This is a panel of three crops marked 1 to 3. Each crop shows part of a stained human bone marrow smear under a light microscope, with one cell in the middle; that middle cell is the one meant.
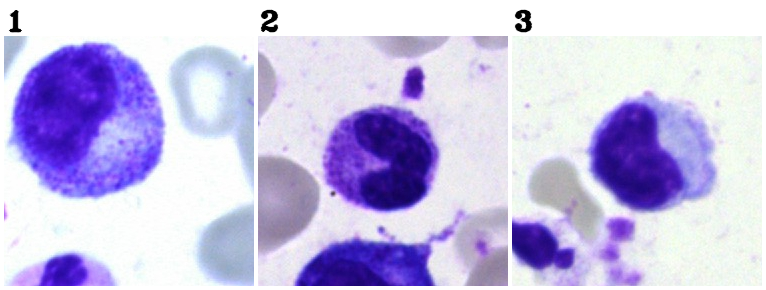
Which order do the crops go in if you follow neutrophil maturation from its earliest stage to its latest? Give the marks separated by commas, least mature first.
1, 3, 2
